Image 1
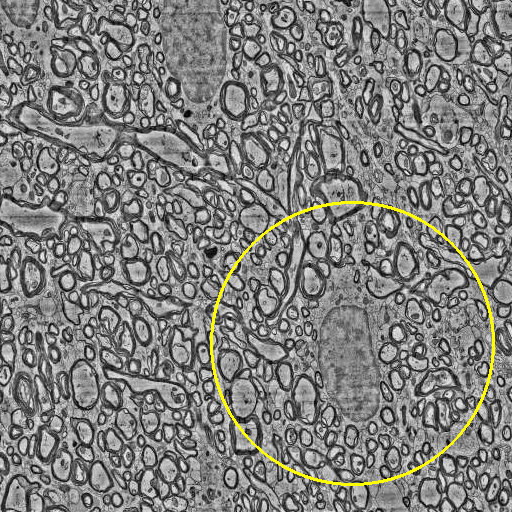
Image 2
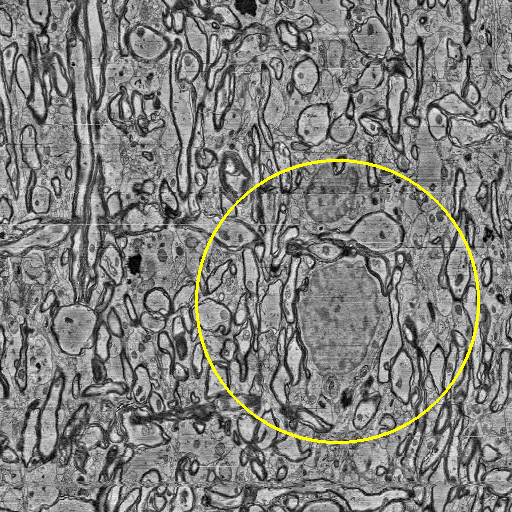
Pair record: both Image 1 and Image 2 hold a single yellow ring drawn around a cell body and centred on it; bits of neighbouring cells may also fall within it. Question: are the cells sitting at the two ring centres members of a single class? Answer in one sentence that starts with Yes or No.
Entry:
Yes, both ring-centre cells in Image 1 and Image 2 are members of one class.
